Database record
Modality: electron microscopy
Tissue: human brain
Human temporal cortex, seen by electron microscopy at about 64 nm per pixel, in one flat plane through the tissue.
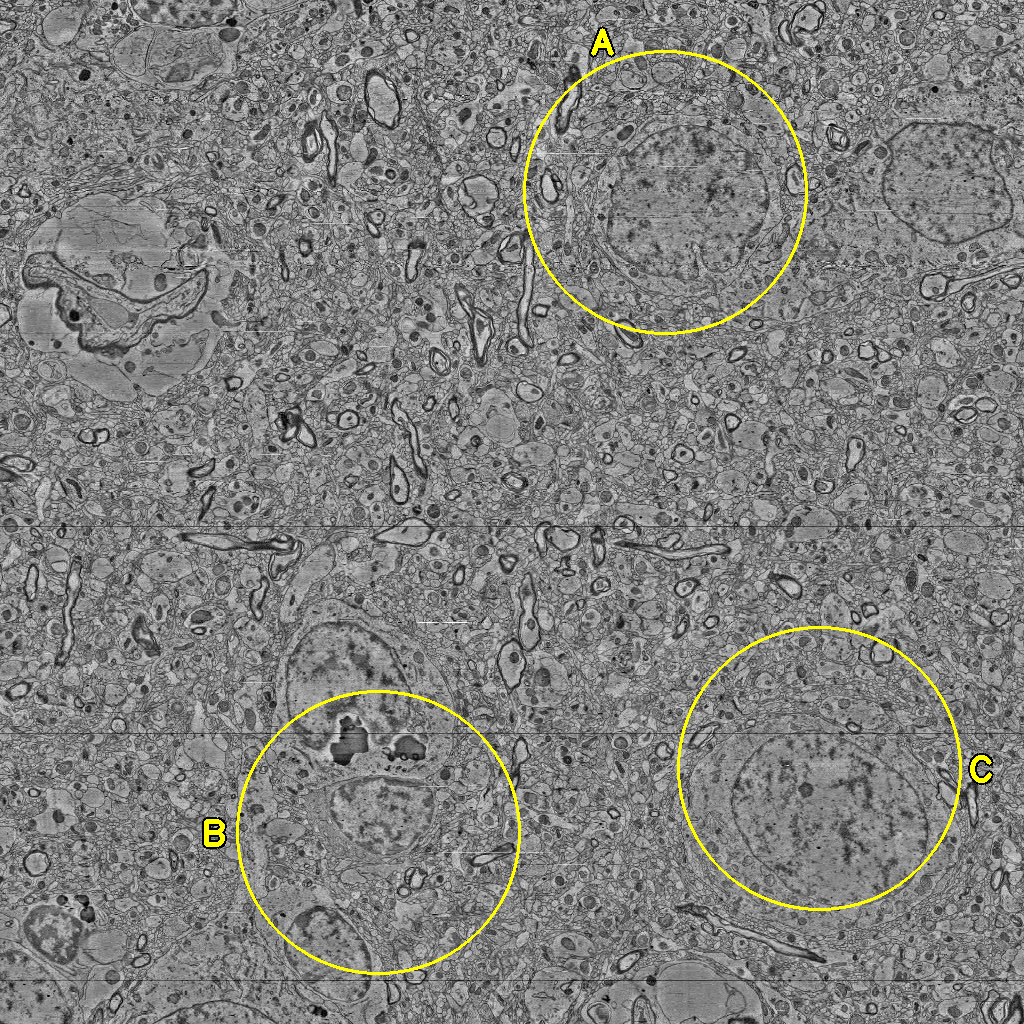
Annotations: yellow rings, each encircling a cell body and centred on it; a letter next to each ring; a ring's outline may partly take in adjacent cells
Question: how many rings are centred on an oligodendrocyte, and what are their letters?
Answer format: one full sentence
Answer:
Of the rings in the micrograph, a single one is centred on an oligodendrocyte, and it shows B.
